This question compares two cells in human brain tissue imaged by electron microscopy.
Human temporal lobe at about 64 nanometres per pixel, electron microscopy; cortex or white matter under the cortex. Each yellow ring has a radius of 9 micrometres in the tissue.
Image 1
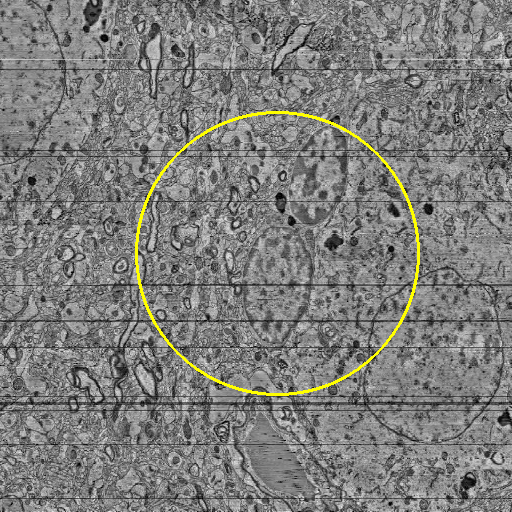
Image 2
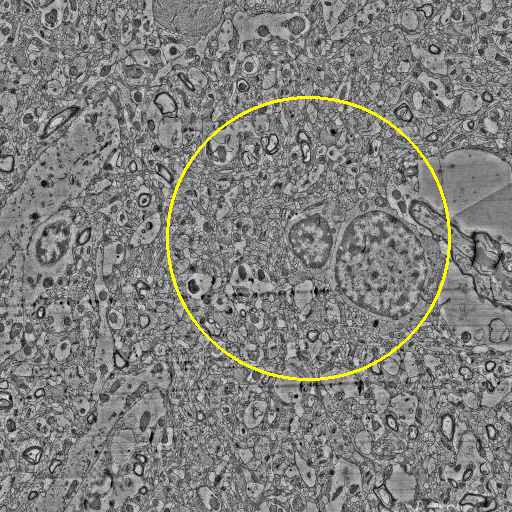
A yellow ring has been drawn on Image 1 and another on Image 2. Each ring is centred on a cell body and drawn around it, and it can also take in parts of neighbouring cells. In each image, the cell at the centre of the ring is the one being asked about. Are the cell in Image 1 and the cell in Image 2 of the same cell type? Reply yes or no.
yes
